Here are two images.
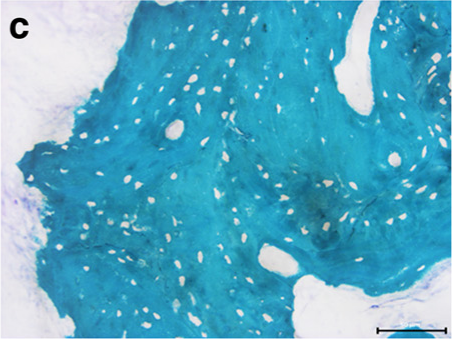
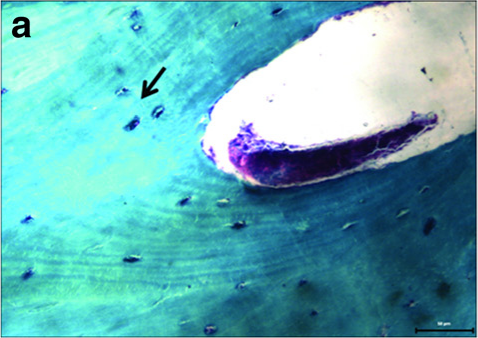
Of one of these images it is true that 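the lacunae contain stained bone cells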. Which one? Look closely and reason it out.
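First image: the lacunae are white and empty. Second image: dark-blue cells fill the lacunae. The answer: the second image.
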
